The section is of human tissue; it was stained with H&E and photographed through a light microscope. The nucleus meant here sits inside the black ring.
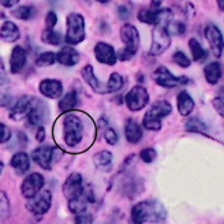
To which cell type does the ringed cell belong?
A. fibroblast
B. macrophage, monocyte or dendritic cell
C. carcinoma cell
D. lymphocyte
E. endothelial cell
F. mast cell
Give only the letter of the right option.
D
